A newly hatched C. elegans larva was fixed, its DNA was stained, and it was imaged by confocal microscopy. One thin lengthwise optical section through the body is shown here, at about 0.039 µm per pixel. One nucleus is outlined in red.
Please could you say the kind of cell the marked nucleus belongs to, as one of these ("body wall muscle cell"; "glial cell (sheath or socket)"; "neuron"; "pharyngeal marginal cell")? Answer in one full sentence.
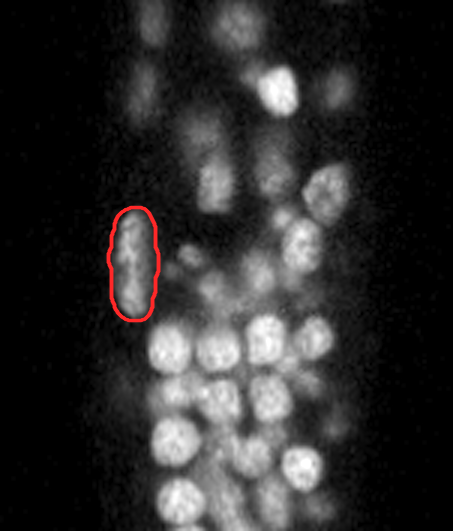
The marked nucleus is that of a body wall muscle cell.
